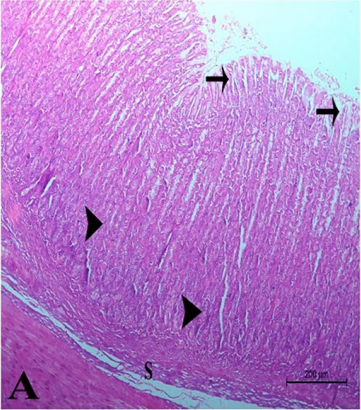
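This is stomach wall with a thick glandular mucosa made of long, straight gastric glands packed side by side and running perpendicular to the surface. Beneath the glands lies a thin, looser, paler submucosal layer, and below that the deeper pink muscle wall.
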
